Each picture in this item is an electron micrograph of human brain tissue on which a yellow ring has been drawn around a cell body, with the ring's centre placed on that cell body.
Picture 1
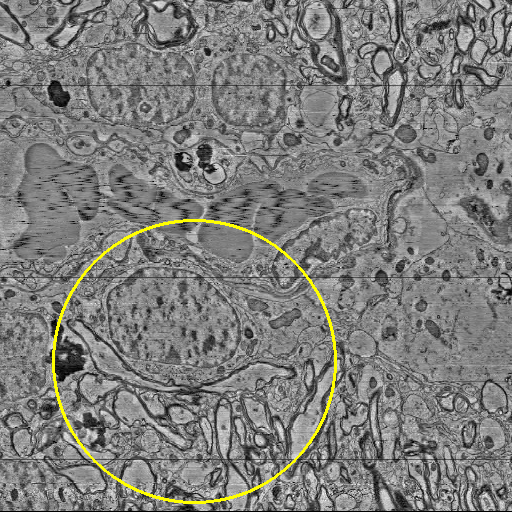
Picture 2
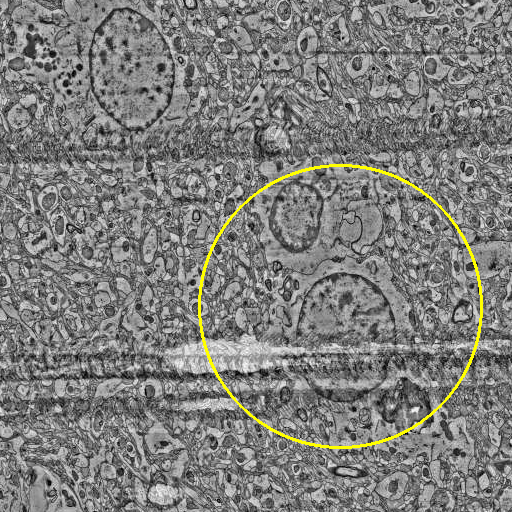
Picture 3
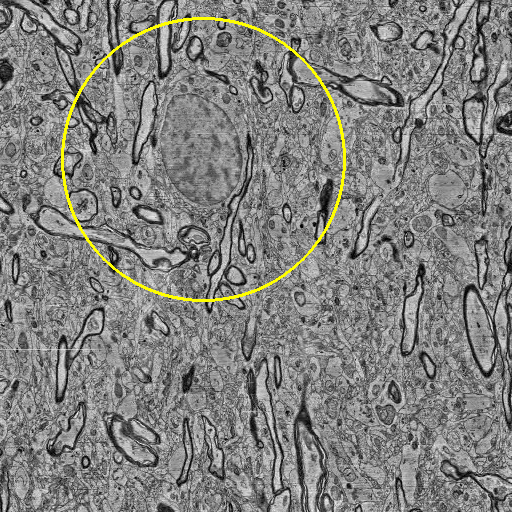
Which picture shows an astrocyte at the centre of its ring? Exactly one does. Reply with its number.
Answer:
2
